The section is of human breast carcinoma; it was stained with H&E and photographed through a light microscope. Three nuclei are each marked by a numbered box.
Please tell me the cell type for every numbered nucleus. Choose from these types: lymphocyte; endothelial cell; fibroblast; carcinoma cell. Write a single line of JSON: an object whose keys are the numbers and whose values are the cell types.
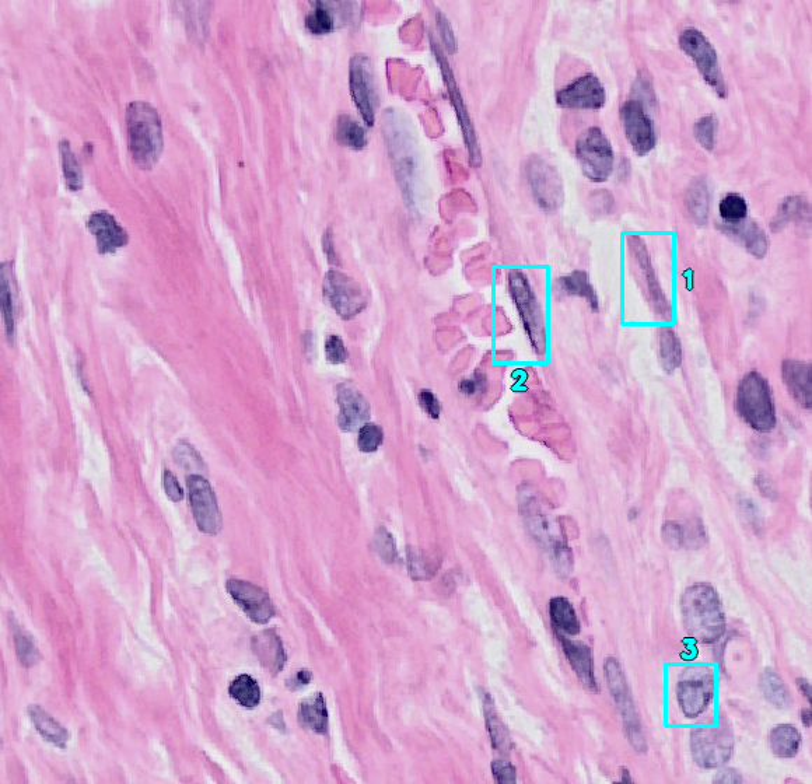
{"1": "fibroblast", "2": "endothelial cell", "3": "carcinoma cell"}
